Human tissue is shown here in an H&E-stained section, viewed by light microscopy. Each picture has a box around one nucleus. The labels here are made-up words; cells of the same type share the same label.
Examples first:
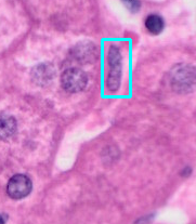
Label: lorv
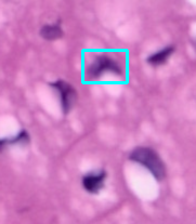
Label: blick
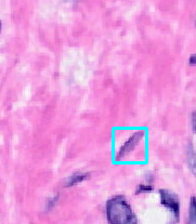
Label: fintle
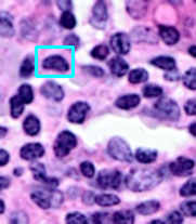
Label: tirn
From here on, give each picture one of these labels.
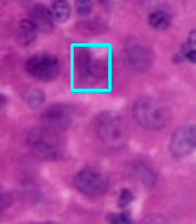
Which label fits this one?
blick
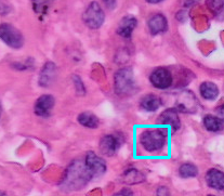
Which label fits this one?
tirn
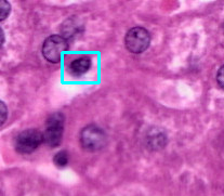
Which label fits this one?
lorv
